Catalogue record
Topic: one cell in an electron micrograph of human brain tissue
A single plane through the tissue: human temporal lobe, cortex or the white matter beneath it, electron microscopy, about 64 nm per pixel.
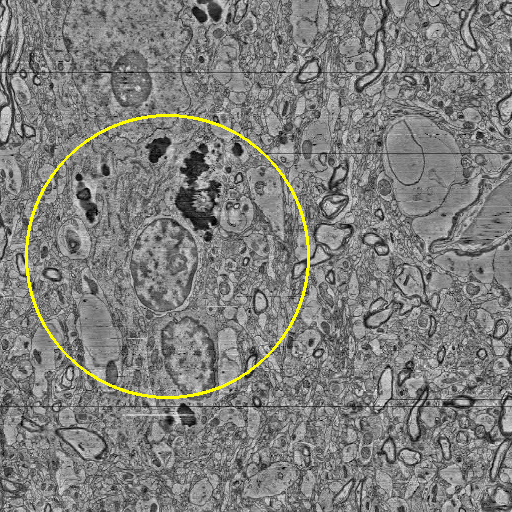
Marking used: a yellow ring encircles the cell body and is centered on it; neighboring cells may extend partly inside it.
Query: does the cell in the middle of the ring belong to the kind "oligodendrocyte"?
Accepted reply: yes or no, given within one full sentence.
No, the cell centered in the ring in the picture is of another kind.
